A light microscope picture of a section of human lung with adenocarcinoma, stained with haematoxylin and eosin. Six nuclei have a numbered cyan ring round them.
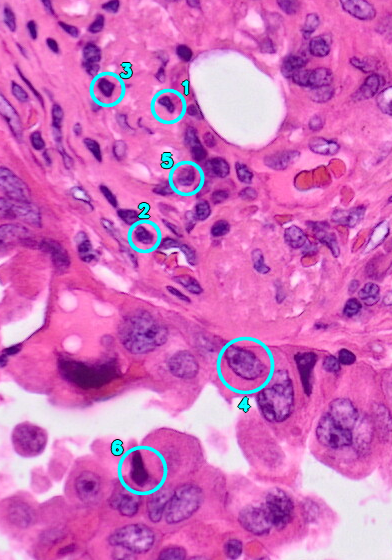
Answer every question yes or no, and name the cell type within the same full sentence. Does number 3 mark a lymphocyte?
Yes, within this section, cell number 3 is a lymphocyte.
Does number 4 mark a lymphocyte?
No, the cell tagged 4 is a carcinoma cell, not a lymphocyte.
